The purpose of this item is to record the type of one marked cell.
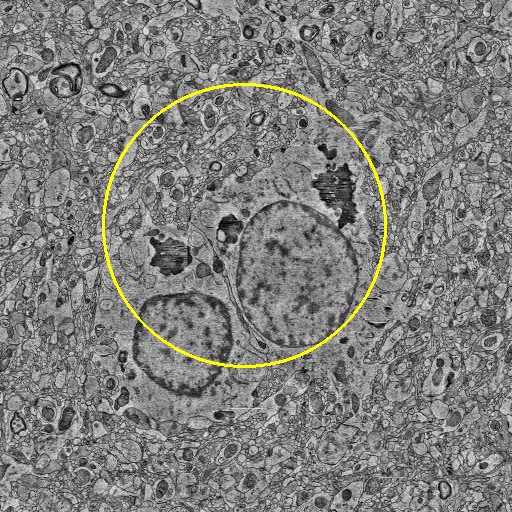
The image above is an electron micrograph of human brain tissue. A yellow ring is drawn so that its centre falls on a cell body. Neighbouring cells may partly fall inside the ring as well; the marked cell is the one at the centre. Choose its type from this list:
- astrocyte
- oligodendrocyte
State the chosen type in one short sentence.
What the ring marks here is an astrocyte.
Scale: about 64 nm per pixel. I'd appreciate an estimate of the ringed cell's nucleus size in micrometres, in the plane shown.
About 10 by 8 micrometers, in this plane.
